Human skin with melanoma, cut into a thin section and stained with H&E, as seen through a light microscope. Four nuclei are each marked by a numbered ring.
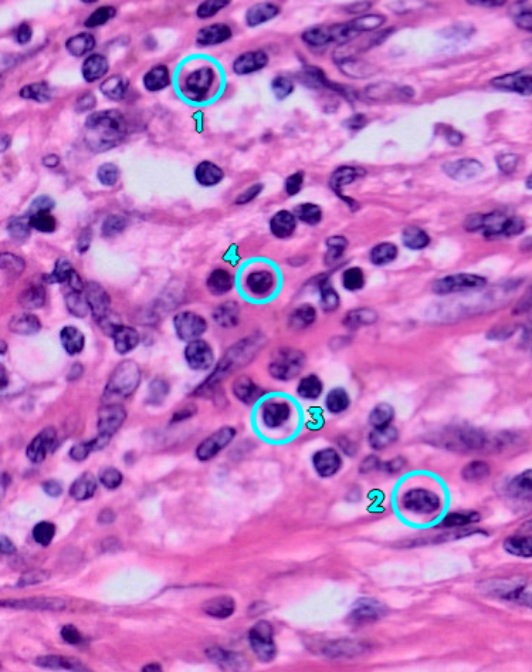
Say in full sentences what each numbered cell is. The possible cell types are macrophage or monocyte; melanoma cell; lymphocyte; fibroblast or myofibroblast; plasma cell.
Cell 1 is a plasma cell, cell 2 is a lymphocyte, cell 3 is a lymphocyte and cell 4 is a lymphocyte.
